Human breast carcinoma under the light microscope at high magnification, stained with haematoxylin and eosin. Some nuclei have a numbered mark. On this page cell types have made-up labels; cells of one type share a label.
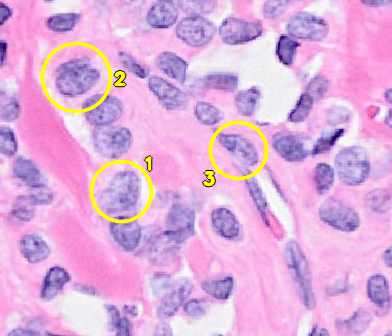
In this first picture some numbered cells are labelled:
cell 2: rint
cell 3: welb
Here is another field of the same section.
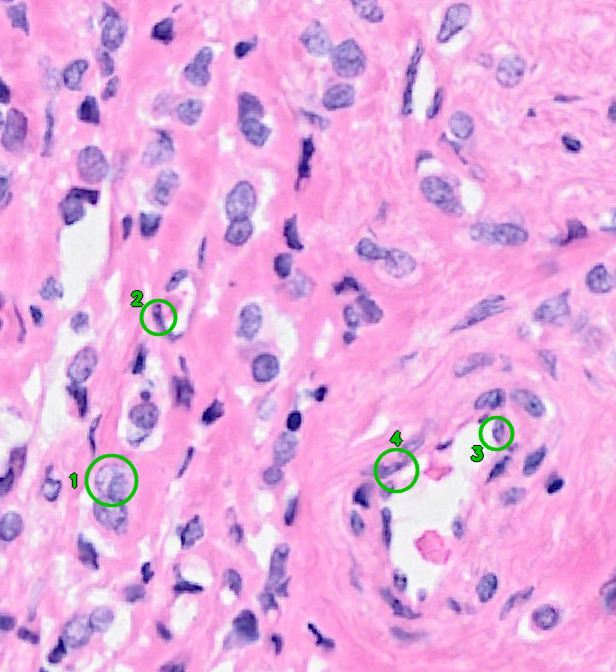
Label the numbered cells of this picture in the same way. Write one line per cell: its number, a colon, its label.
1: rint
2: welb
3: welb
4: welb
